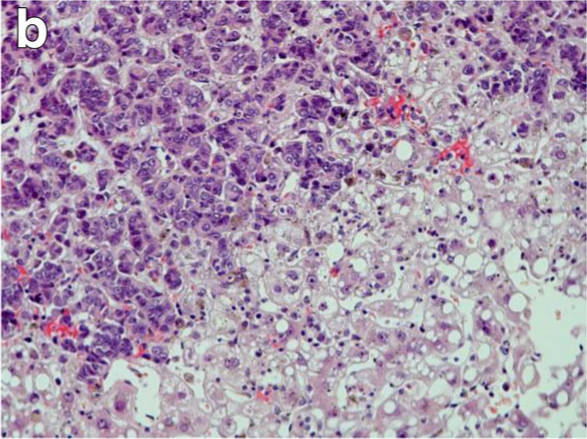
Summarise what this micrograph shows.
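Across the upper left, dark purple cells with large nuclei lie singly and in small clusters between thin spaces, while toward the lower right paler liver cells with swollen cytoplasm and round clear fat vacuoles remain. A few red blood cells and brown pigment grains are scattered between. The dark cells are carcinoma cells spreading into the liver tissue.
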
